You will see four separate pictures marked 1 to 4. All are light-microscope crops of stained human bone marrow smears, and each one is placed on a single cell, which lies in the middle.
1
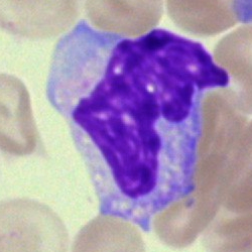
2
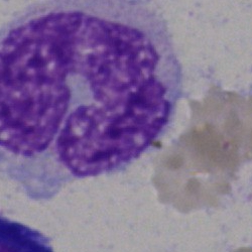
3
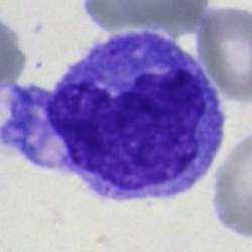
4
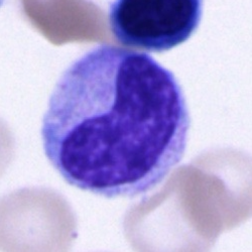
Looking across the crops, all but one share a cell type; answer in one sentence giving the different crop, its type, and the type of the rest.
In contrast to the other crops, all of which show monocytes, crop 4 shows a metamyelocyte.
